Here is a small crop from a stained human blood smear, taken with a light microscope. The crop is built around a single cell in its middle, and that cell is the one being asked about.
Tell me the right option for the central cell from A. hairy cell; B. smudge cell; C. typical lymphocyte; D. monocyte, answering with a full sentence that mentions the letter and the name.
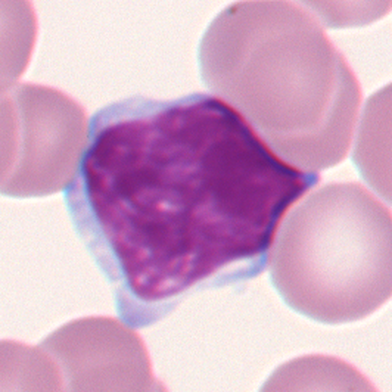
Well, the cell in the middle is a typical lymphocyte, making option C right.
